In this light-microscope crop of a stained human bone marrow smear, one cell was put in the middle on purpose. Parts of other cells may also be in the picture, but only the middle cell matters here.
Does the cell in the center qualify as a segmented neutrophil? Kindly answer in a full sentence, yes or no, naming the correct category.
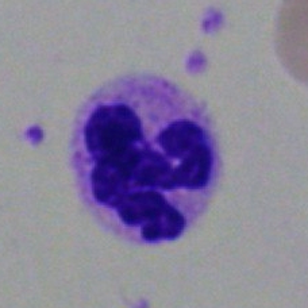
Yes, what sits in the middle of the crop is a segmented neutrophil.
